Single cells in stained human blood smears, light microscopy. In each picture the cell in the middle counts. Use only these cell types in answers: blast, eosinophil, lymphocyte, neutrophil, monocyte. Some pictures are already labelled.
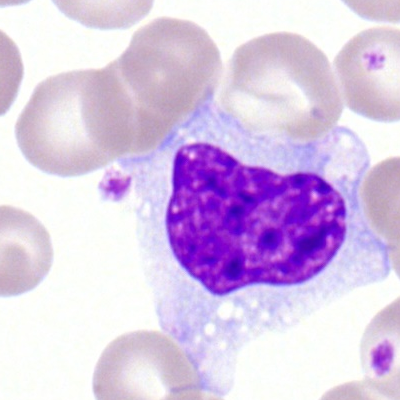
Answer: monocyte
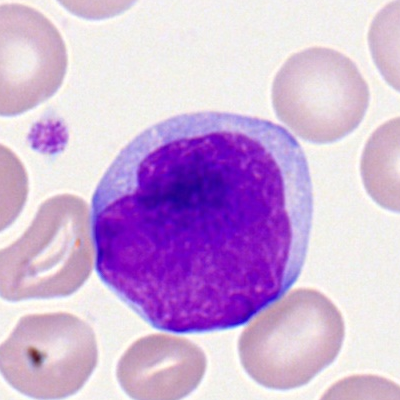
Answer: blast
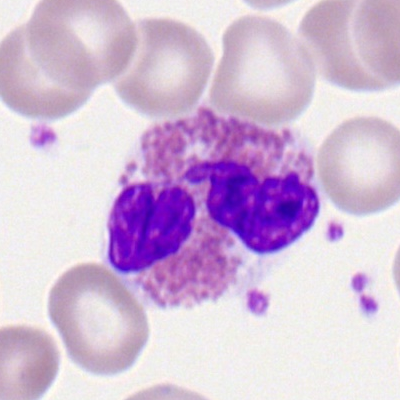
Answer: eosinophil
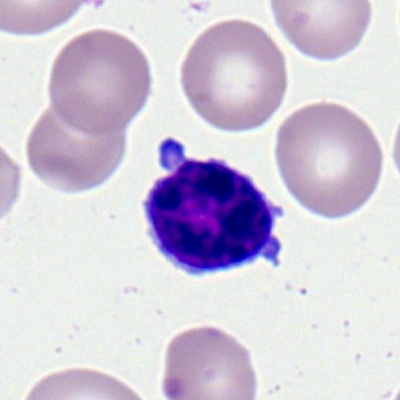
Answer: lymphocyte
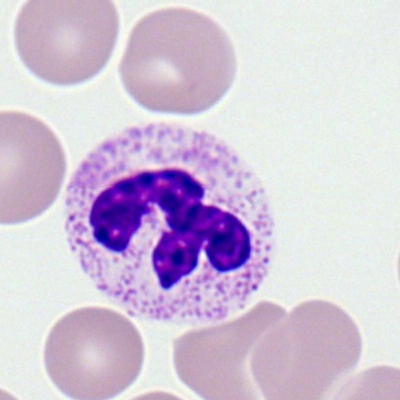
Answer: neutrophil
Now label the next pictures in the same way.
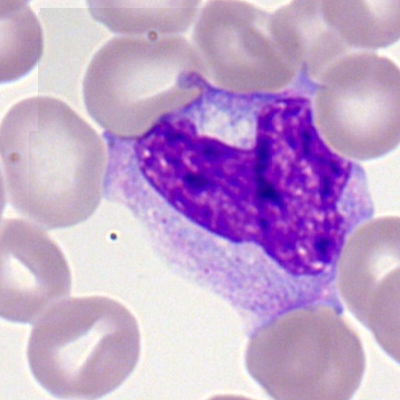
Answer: monocyte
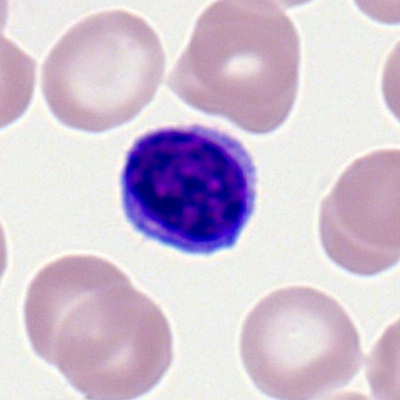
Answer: lymphocyte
